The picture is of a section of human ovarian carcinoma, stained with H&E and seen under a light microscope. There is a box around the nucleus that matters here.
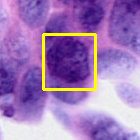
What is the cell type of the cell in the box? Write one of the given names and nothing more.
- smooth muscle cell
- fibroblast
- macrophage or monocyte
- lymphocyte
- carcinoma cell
carcinoma cell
